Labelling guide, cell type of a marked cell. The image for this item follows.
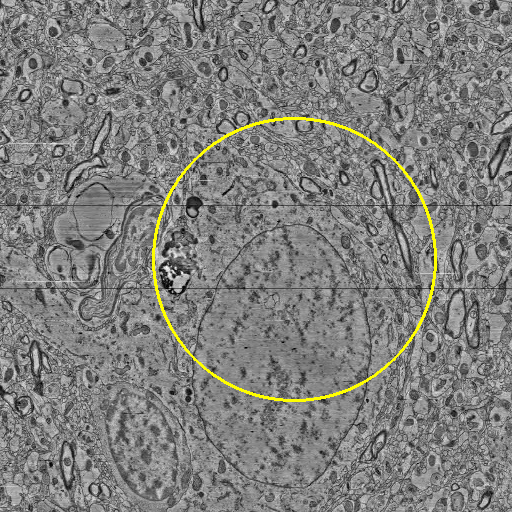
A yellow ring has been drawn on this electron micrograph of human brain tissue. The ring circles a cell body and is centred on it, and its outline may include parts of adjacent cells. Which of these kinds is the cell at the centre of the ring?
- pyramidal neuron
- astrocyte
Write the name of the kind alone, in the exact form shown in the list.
pyramidal neuron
